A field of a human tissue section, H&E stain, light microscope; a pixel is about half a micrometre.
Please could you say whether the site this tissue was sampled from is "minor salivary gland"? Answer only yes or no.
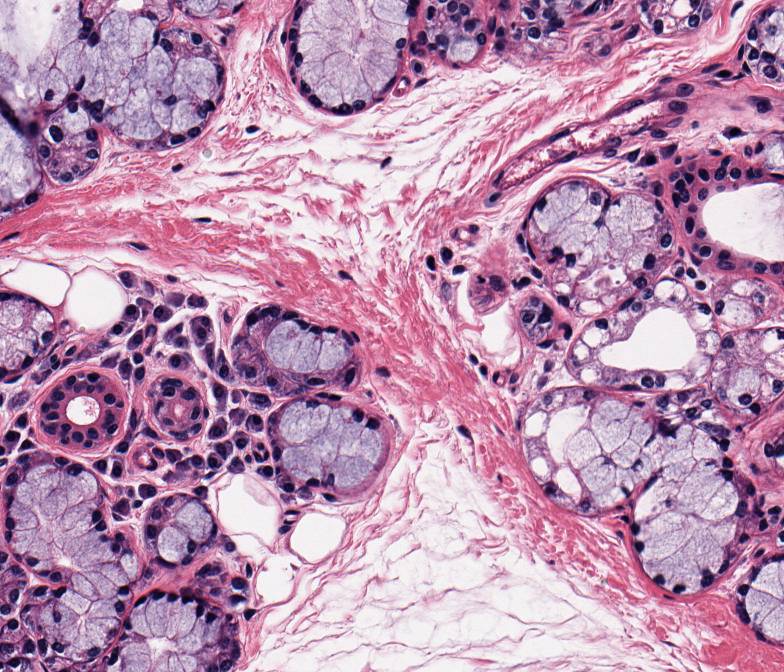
yes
